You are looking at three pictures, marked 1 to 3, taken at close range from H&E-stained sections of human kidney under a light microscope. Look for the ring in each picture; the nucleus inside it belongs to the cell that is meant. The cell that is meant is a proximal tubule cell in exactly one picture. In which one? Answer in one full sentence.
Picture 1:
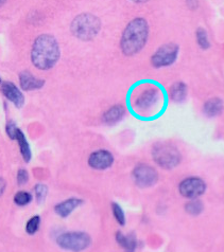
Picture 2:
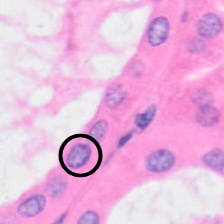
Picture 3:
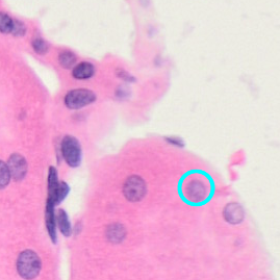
Picture 3 is the one that shows the proximal tubule cell.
